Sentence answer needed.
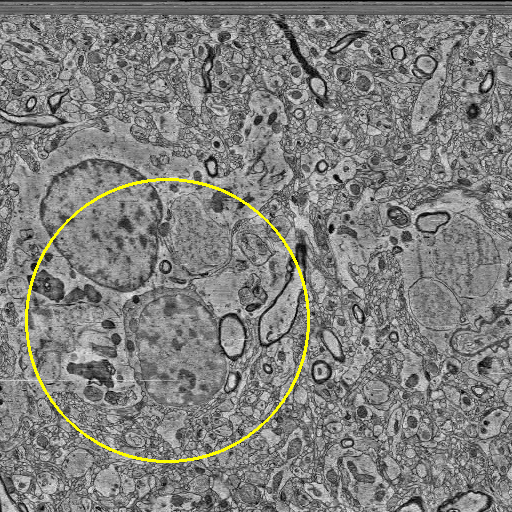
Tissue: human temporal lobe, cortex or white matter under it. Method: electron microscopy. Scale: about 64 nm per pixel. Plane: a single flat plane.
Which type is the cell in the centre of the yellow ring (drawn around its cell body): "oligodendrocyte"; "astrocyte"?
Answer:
In the centre of the yellow ring is an oligodendrocyte.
